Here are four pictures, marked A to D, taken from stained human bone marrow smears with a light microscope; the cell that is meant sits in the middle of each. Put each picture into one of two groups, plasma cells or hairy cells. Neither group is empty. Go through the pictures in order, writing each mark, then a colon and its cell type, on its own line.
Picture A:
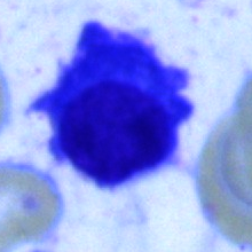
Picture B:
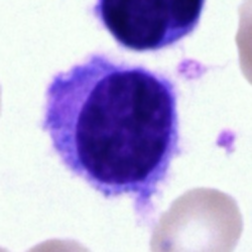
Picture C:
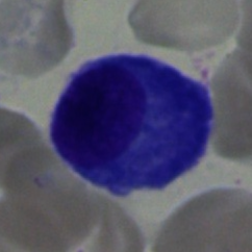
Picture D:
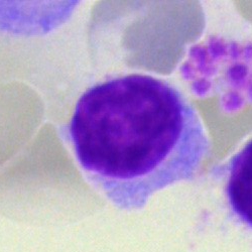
A: plasma cell
B: hairy cell
C: plasma cell
D: hairy cell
